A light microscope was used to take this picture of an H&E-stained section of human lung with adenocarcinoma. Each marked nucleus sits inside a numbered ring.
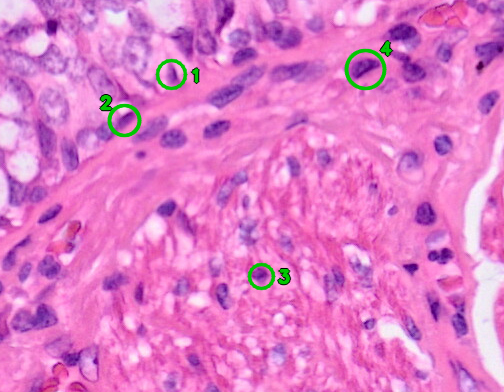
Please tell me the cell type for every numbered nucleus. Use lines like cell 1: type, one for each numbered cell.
cell 1: ciliated epithelial cell
cell 2: ciliated epithelial cell
cell 3: smooth muscle cell or pericyte
cell 4: plasma cell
